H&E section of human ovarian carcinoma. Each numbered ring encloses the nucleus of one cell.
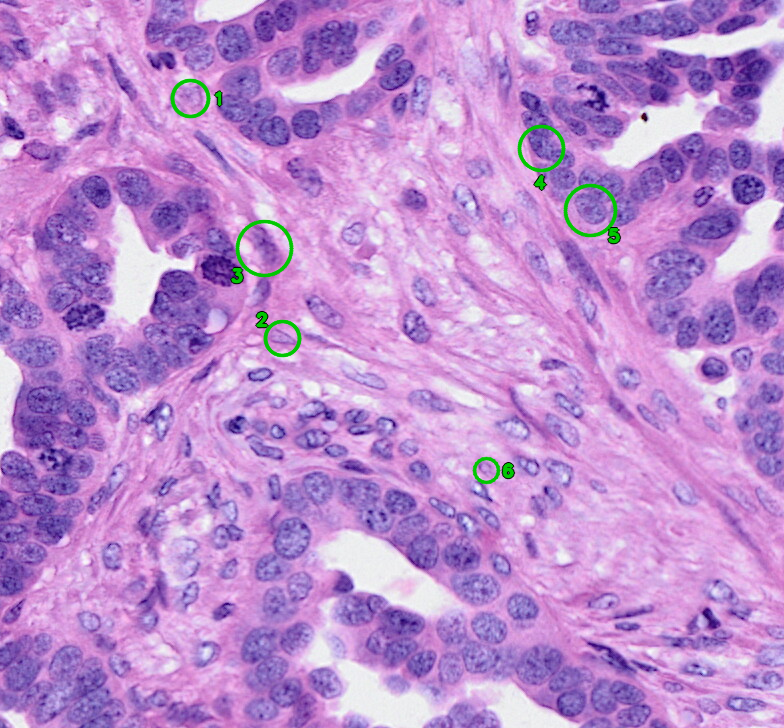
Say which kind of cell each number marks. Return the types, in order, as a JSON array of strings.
["fibroblast", "fibroblast", "fibroblast", "carcinoma cell", "carcinoma cell", "fibroblast"]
